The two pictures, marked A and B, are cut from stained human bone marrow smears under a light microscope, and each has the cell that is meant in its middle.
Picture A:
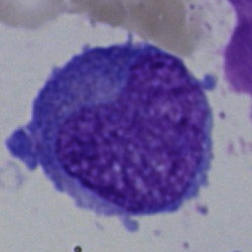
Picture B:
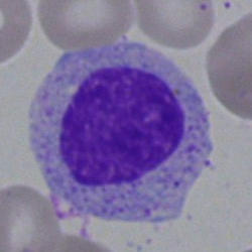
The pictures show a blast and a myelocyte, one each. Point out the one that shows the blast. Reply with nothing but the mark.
A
